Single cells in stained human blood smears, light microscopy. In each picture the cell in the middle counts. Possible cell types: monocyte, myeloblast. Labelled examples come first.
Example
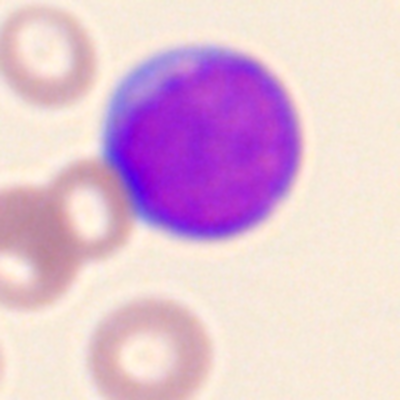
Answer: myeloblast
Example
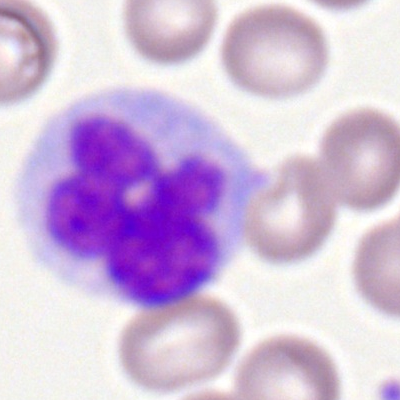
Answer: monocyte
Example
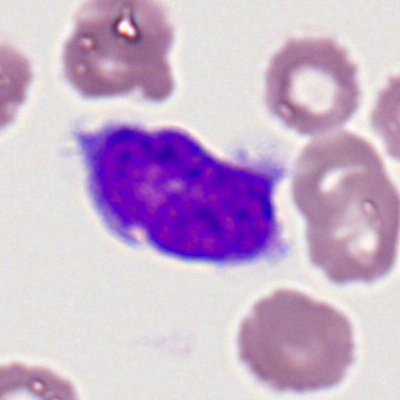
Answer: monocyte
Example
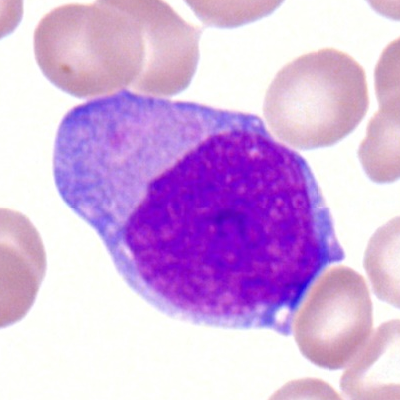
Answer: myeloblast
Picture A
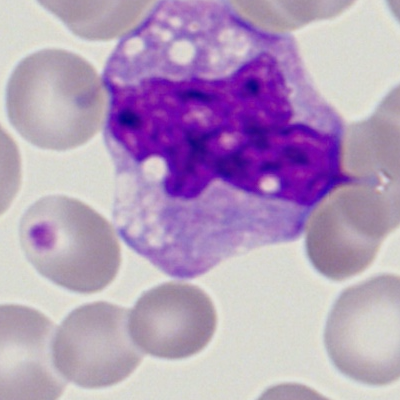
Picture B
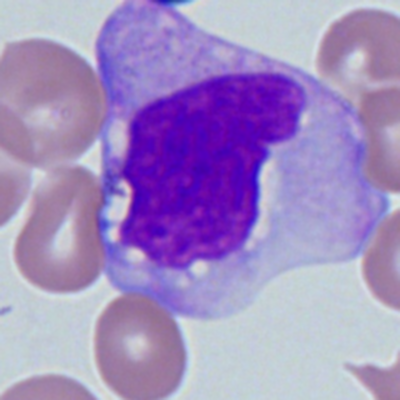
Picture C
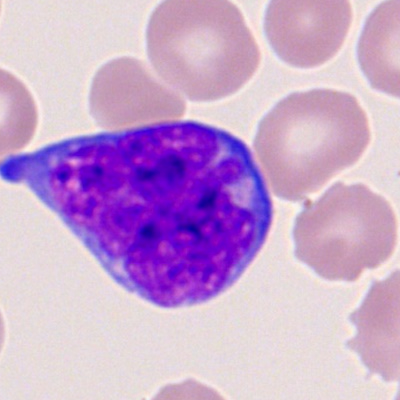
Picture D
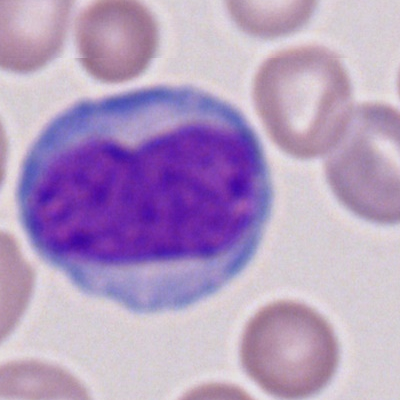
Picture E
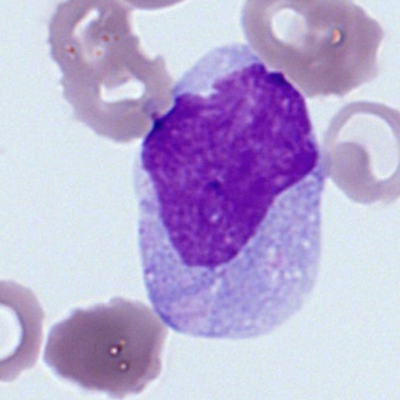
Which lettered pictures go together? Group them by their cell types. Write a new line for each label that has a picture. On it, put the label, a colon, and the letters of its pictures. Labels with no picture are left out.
monocyte: A, B, D, E
myeloblast: C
